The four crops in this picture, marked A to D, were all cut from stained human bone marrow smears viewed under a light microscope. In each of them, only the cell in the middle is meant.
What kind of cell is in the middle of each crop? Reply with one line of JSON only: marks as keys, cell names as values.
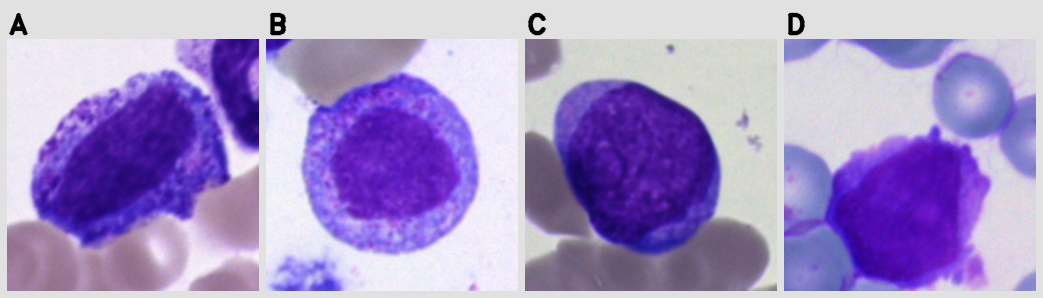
{"A": "promyelocyte", "B": "promyelocyte", "C": "blast", "D": "blast"}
